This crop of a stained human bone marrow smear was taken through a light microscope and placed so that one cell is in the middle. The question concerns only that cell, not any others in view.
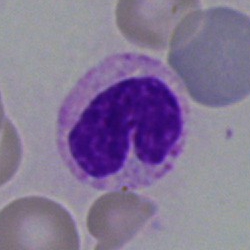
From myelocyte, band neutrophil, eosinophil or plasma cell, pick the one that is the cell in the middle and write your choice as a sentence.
Classified as a band neutrophil is the cell in the middle of this crop.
